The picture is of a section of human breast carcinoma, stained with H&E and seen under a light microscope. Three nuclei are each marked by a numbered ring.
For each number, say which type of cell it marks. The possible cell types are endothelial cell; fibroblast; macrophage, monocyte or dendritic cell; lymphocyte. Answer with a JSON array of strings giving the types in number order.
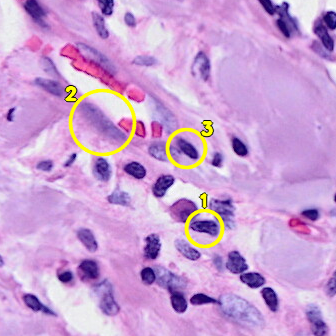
["lymphocyte", "endothelial cell", "lymphocyte"]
